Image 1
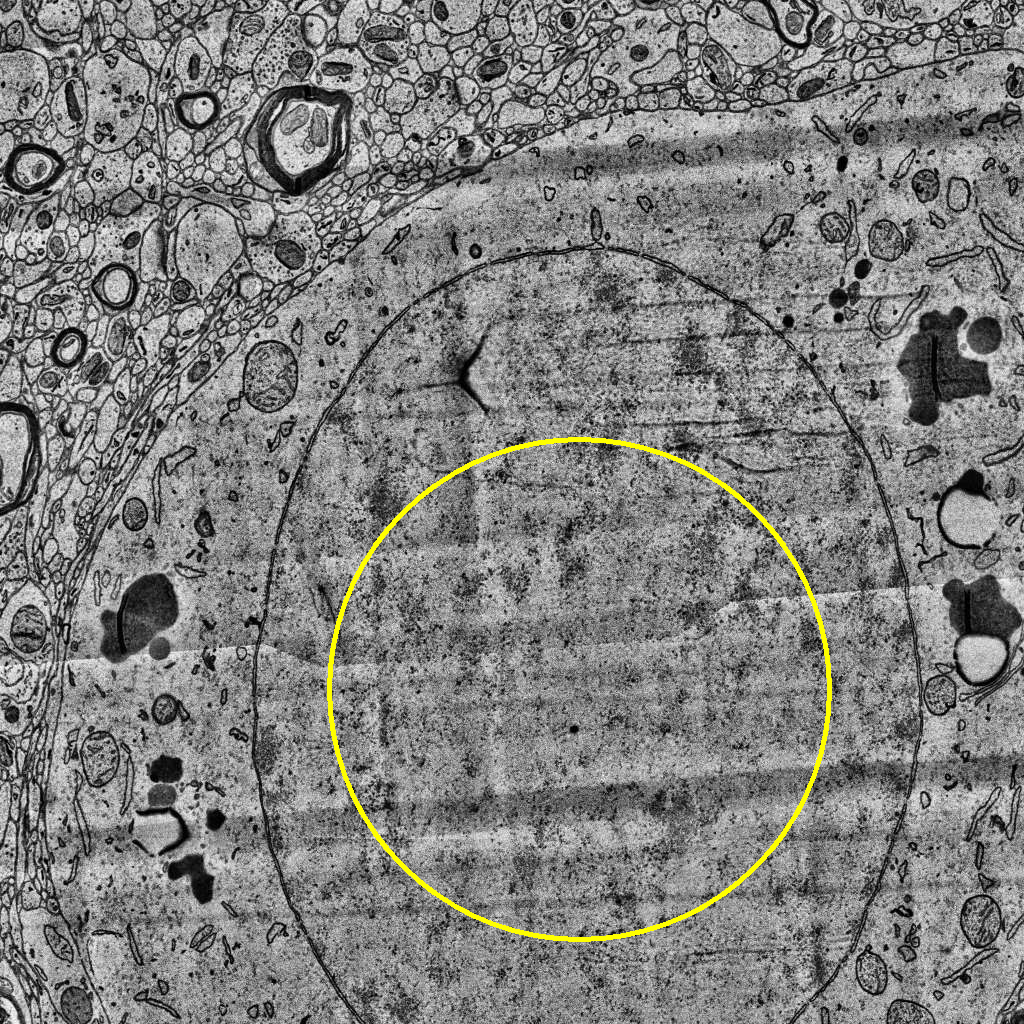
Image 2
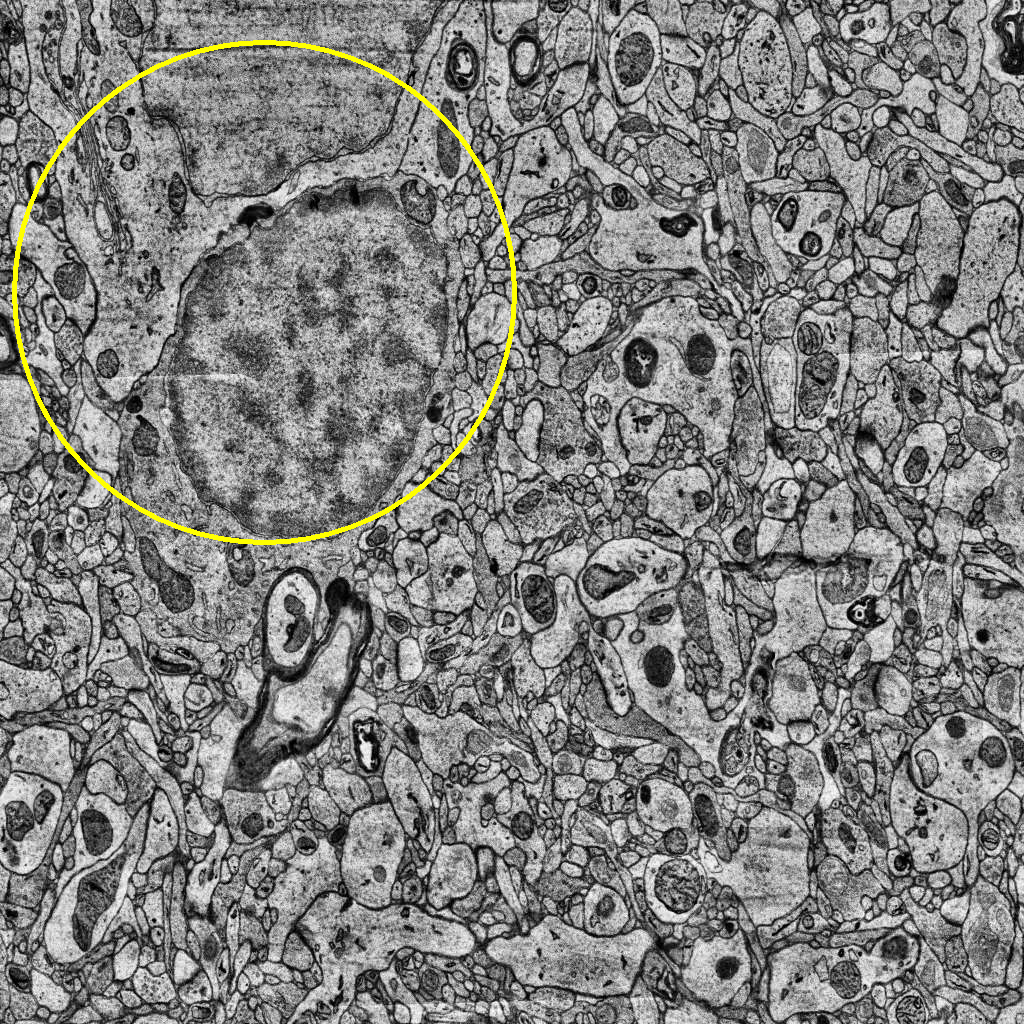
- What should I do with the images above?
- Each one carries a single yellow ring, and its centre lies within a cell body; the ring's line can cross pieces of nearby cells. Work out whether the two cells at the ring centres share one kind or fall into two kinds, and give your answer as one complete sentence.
The ring-centre cells of Image 1 and Image 2 fall into two kinds.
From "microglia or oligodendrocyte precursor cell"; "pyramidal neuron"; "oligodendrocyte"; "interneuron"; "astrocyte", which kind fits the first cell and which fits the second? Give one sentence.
The cell at the centre of the second ring is an oligodendrocyte; the first ring's cell is a pyramidal neuron.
